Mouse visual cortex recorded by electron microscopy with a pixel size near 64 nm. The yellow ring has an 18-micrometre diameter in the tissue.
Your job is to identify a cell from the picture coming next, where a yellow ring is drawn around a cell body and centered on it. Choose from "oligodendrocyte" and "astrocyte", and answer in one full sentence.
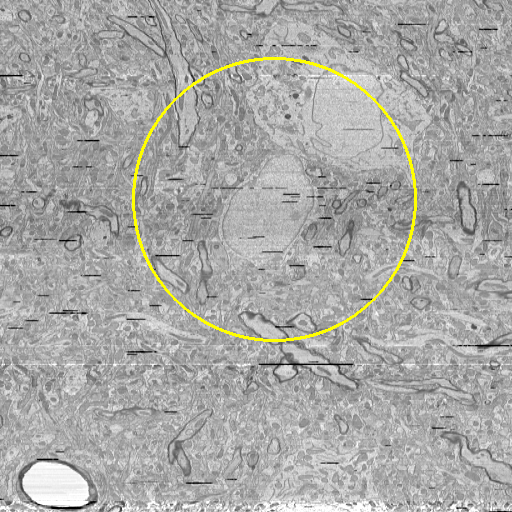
Centered in the yellow ring of the picture is the body of an astrocyte.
